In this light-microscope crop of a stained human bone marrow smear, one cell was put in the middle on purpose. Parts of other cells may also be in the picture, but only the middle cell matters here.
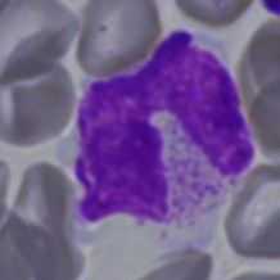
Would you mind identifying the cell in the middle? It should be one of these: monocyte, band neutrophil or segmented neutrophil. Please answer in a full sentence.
Looking at the middle of the crop, the cell there is a band neutrophil.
